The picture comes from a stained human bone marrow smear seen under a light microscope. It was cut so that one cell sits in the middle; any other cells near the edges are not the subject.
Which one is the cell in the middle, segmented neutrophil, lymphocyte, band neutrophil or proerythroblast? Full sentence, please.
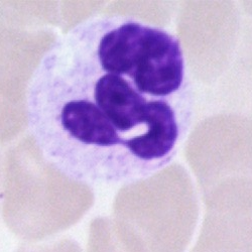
For this crop, the central cell is a segmented neutrophil.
